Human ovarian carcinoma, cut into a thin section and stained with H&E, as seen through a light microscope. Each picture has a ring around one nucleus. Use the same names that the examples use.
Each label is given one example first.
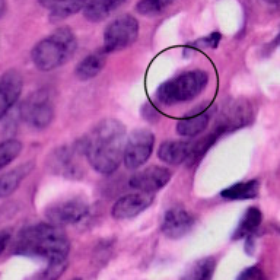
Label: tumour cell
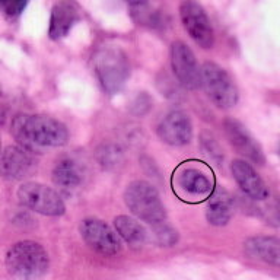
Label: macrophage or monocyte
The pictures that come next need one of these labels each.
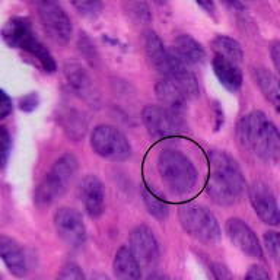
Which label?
tumour cell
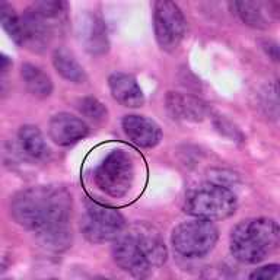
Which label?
tumour cell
